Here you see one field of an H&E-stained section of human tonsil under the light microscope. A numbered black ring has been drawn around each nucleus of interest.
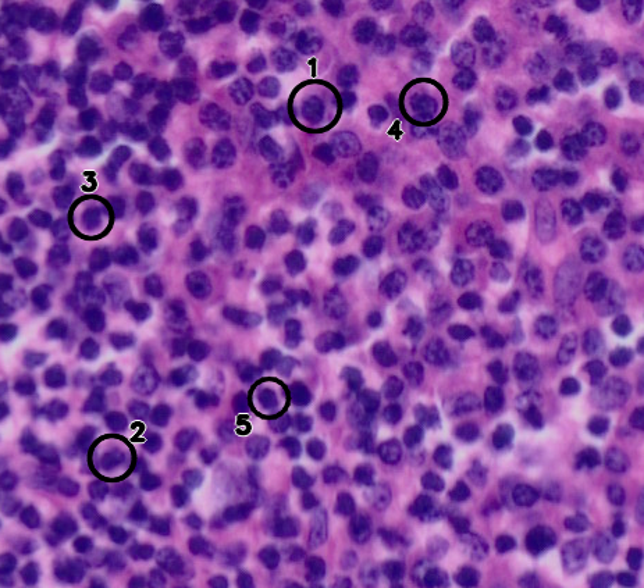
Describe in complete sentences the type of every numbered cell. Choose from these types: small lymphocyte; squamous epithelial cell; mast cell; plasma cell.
Cells 1 and 4 are plasma cells. Cells 2, 3 and 5 are small lymphocytes.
